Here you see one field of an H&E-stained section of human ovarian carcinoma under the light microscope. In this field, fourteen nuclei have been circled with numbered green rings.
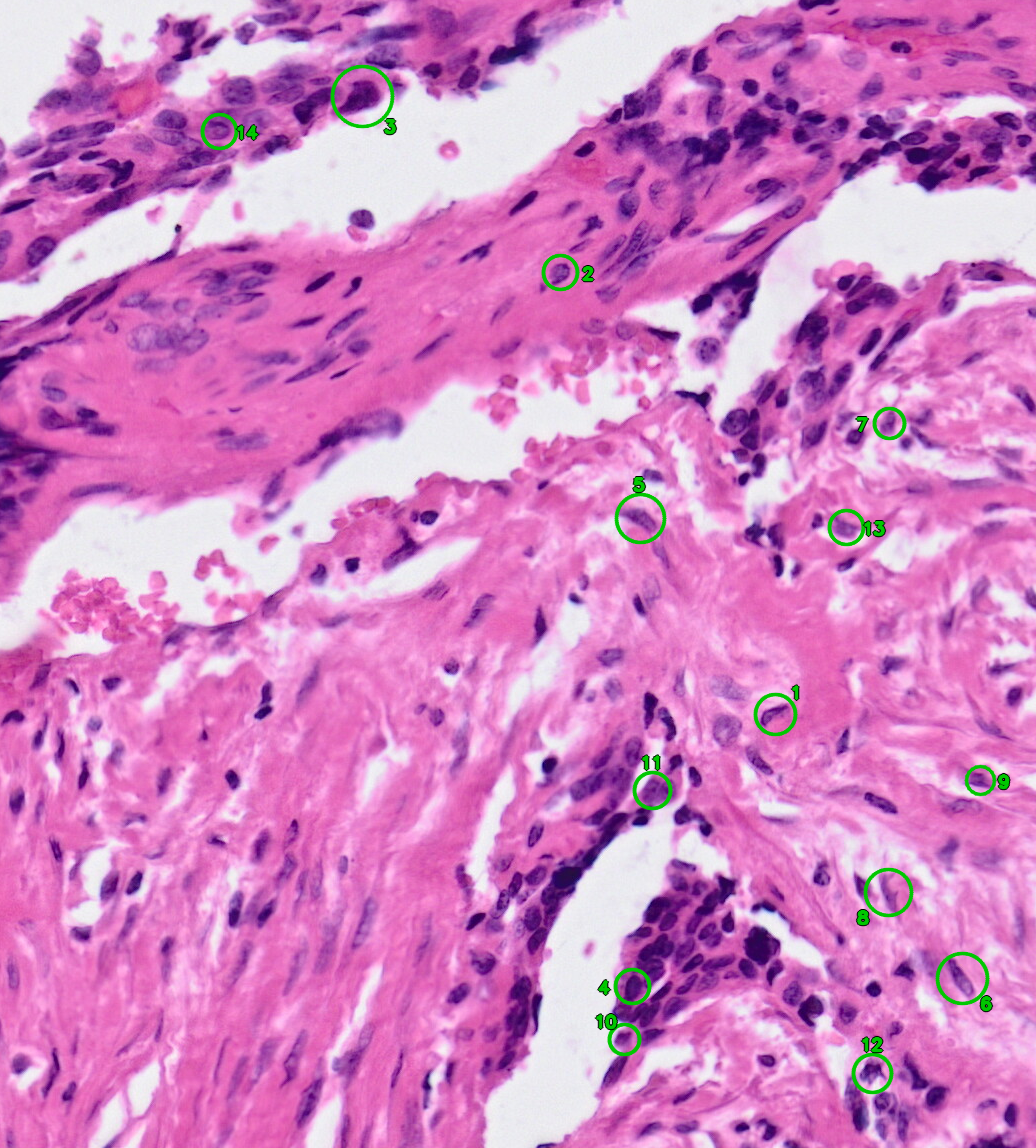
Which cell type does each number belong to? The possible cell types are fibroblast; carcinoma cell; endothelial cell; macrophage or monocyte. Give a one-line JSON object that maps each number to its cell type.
{"1": "fibroblast", "2": "macrophage or monocyte", "3": "carcinoma cell", "4": "carcinoma cell", "5": "fibroblast", "6": "fibroblast", "7": "fibroblast", "8": "fibroblast", "9": "fibroblast", "10": "carcinoma cell", "11": "carcinoma cell", "12": "macrophage or monocyte", "13": "fibroblast", "14": "carcinoma cell"}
